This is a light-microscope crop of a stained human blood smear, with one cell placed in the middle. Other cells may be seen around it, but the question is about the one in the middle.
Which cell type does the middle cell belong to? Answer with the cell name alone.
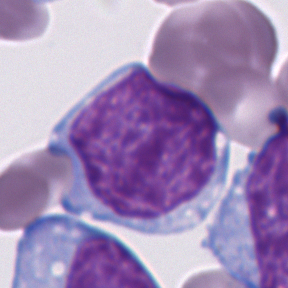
myeloblast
